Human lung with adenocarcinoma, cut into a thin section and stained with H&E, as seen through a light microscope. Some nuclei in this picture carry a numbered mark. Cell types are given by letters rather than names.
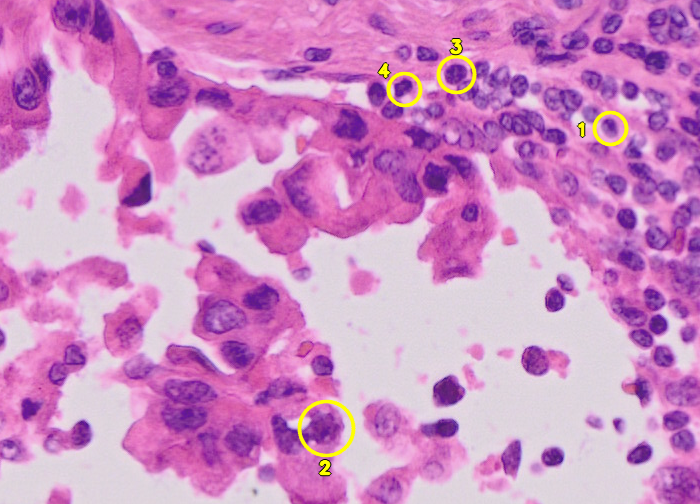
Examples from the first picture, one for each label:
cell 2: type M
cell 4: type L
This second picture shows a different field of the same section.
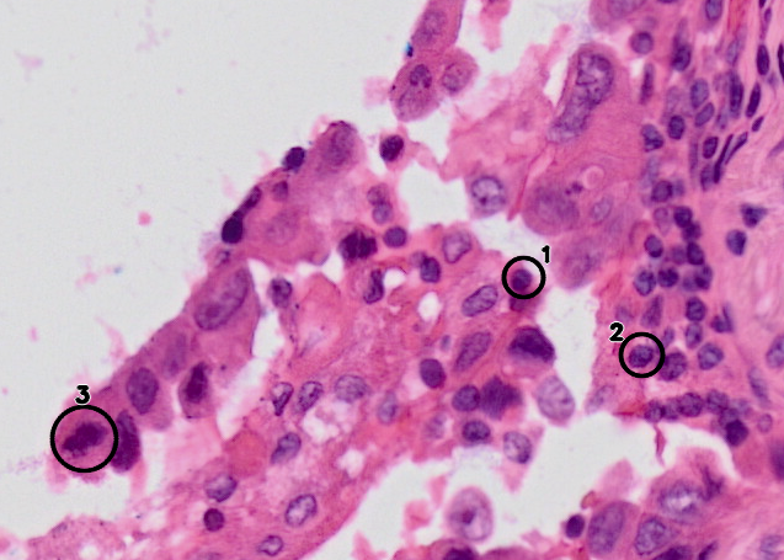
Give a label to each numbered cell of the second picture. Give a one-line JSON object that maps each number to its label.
{"1": "type L", "2": "type L", "3": "type M"}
